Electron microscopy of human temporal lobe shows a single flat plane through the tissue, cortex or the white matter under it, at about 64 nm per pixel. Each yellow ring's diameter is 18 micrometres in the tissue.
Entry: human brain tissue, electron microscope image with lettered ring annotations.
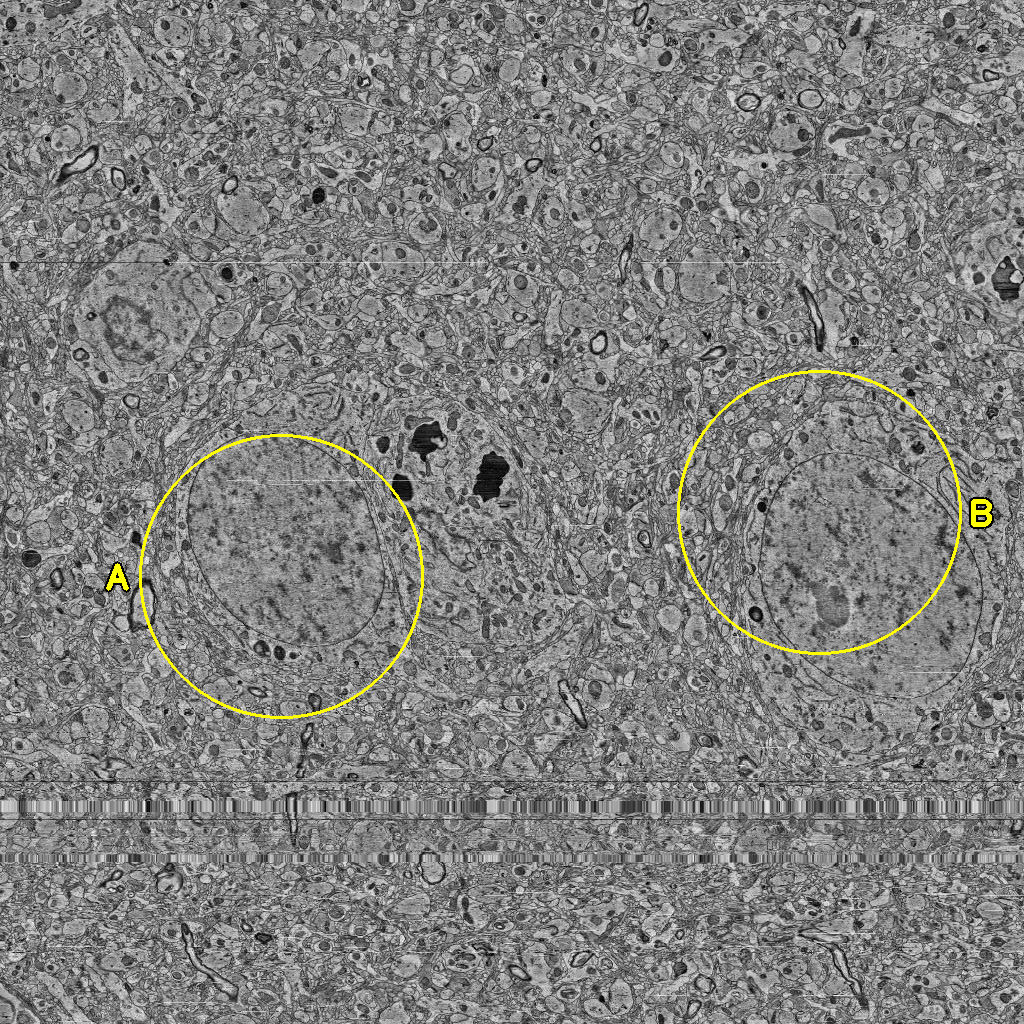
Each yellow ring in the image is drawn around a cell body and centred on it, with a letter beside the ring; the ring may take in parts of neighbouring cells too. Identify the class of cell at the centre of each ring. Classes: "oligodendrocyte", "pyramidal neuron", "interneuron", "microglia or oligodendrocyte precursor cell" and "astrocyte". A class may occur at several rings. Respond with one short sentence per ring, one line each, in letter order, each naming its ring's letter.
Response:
Ring A holds a pyramidal neuron at its centre.
Ring B holds a pyramidal neuron at its centre.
